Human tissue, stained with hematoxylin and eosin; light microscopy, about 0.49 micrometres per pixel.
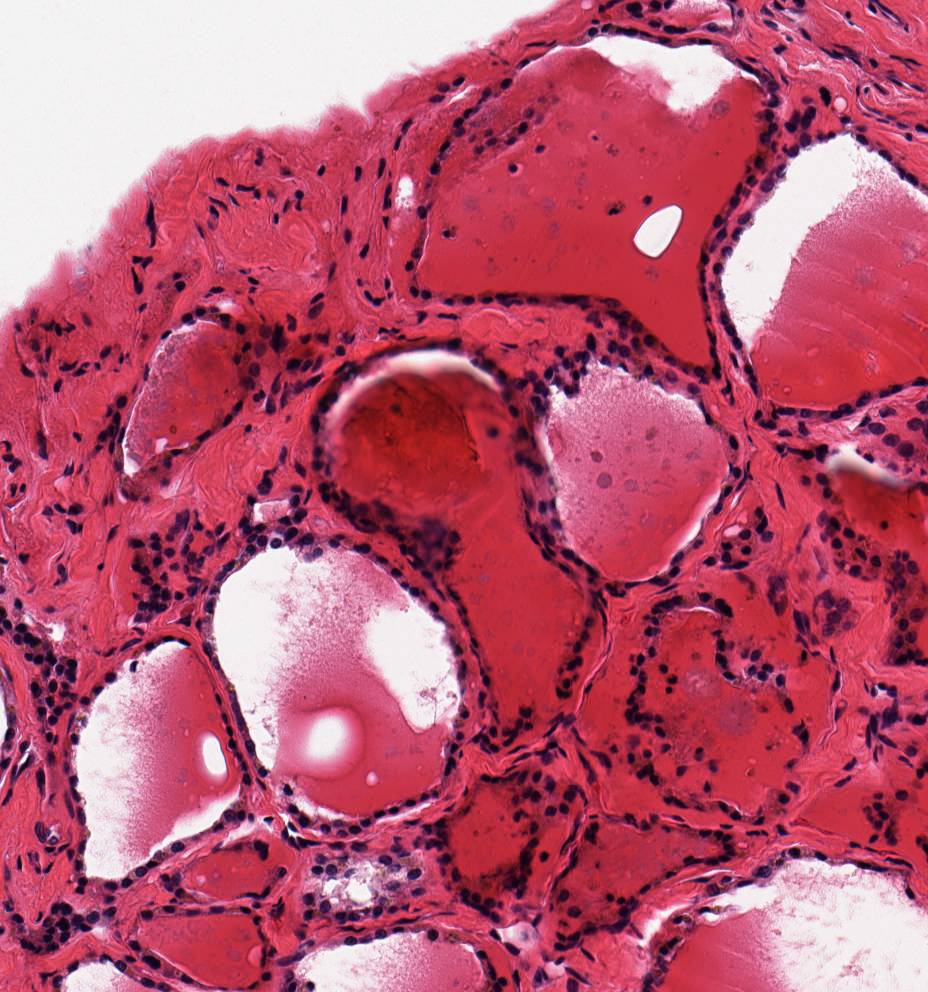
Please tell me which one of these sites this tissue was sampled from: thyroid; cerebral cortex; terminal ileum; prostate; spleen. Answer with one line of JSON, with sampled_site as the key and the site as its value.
{"sampled_site": "thyroid"}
